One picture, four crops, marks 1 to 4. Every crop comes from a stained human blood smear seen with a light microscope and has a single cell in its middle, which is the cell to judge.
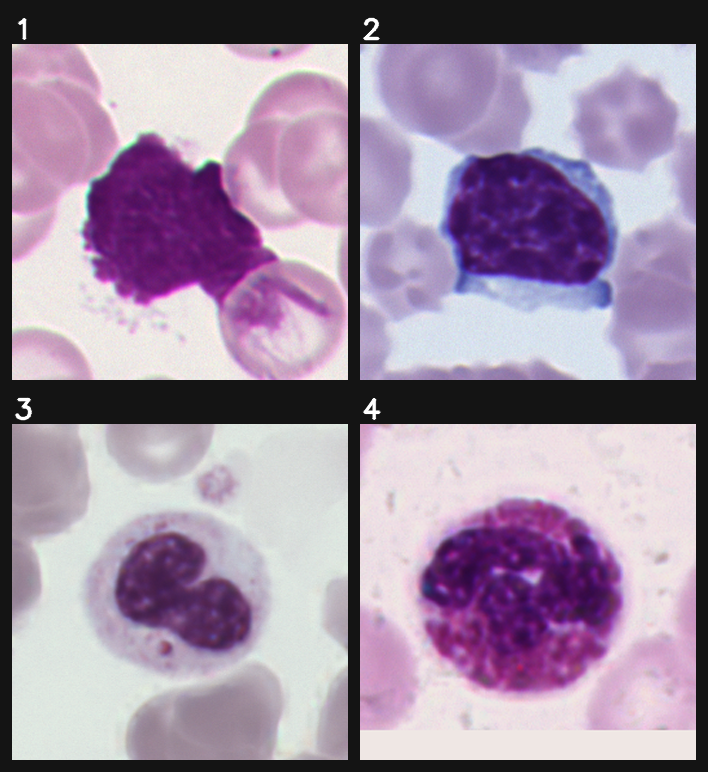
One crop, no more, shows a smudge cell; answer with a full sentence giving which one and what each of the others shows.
The cell shown in crop 1 is a smudge cell, whereas crop 2 is a typical lymphocyte, crop 3 is a band neutrophil and crop 4 is an eosinophil.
